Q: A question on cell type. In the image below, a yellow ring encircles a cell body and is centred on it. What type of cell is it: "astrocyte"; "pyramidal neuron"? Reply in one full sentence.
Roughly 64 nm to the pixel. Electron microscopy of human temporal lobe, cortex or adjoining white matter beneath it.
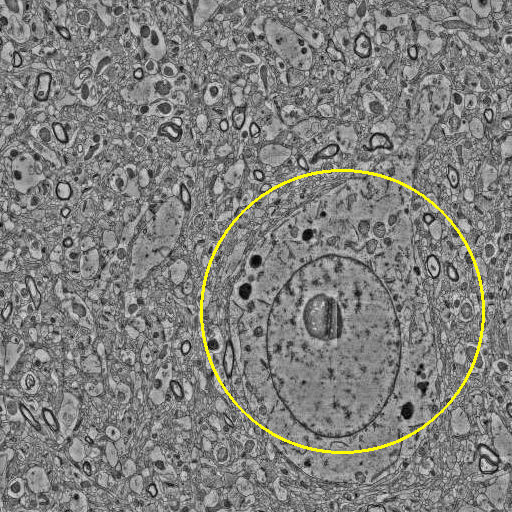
It is a pyramidal neuron whose cell body sits at the centre of the yellow ring in the image.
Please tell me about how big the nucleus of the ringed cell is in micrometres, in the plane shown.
The ringed cell's nucleus is about 12 micrometres long and 9 micrometres wide in this plane.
